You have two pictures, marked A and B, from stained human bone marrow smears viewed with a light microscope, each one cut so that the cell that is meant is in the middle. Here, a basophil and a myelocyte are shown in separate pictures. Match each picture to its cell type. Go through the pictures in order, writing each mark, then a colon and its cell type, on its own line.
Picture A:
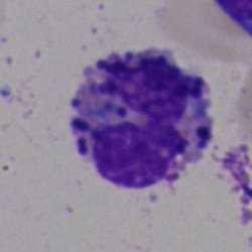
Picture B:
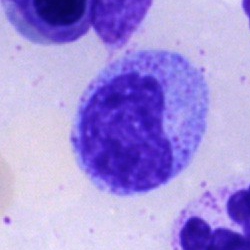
A: basophil
B: myelocyte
